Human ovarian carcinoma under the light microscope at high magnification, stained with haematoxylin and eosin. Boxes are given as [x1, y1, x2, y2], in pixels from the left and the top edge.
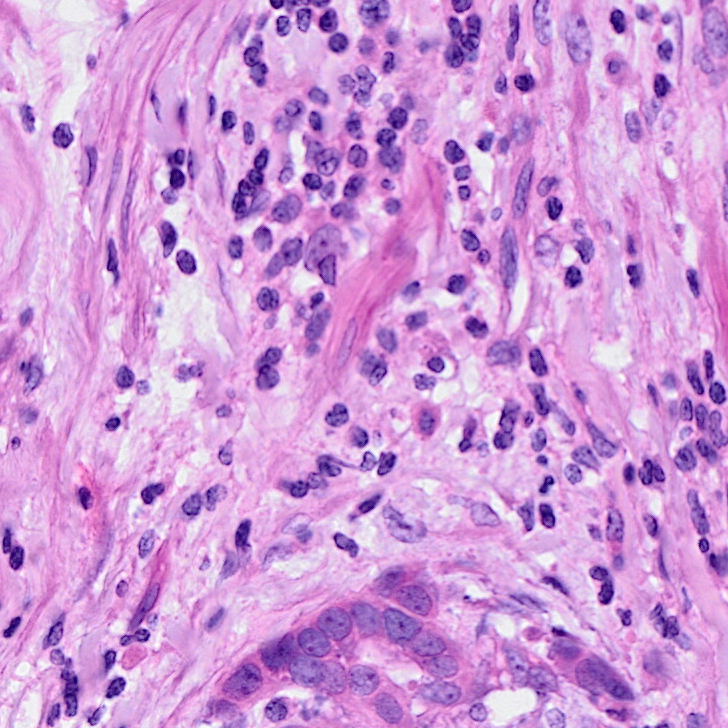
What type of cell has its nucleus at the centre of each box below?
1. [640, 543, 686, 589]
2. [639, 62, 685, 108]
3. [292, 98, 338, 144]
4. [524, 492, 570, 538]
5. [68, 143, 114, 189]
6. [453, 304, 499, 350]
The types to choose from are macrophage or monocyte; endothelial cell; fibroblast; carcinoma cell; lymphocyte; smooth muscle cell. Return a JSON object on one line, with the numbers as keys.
{"1": "fibroblast", "2": "lymphocyte", "3": "lymphocyte", "4": "lymphocyte", "5": "fibroblast", "6": "lymphocyte"}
